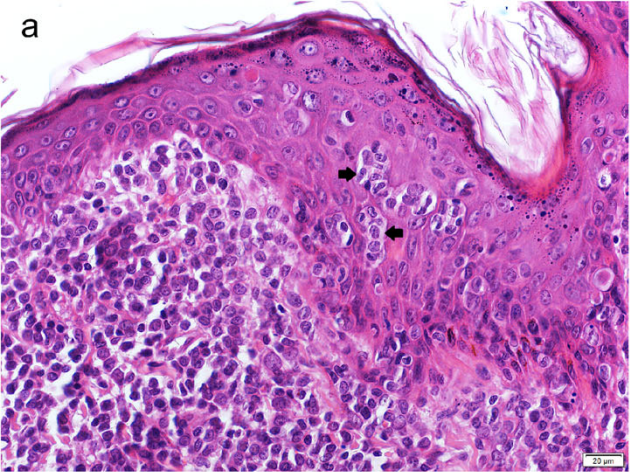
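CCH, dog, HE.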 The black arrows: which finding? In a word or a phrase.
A: Intra-epidermal nests of neoplastic cells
